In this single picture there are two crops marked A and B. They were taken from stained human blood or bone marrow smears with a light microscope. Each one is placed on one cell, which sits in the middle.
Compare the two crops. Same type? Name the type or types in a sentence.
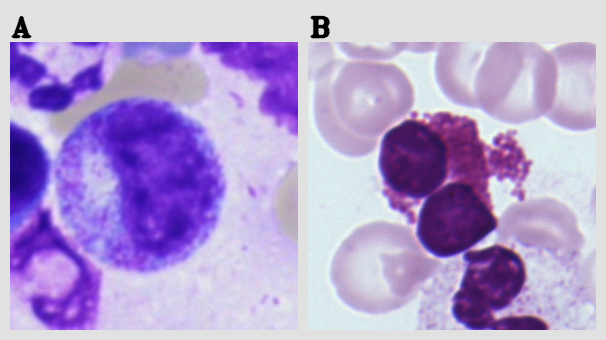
No, it is in crop A that a myelocyte is shown, and in crop B that an eosinophil is shown.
